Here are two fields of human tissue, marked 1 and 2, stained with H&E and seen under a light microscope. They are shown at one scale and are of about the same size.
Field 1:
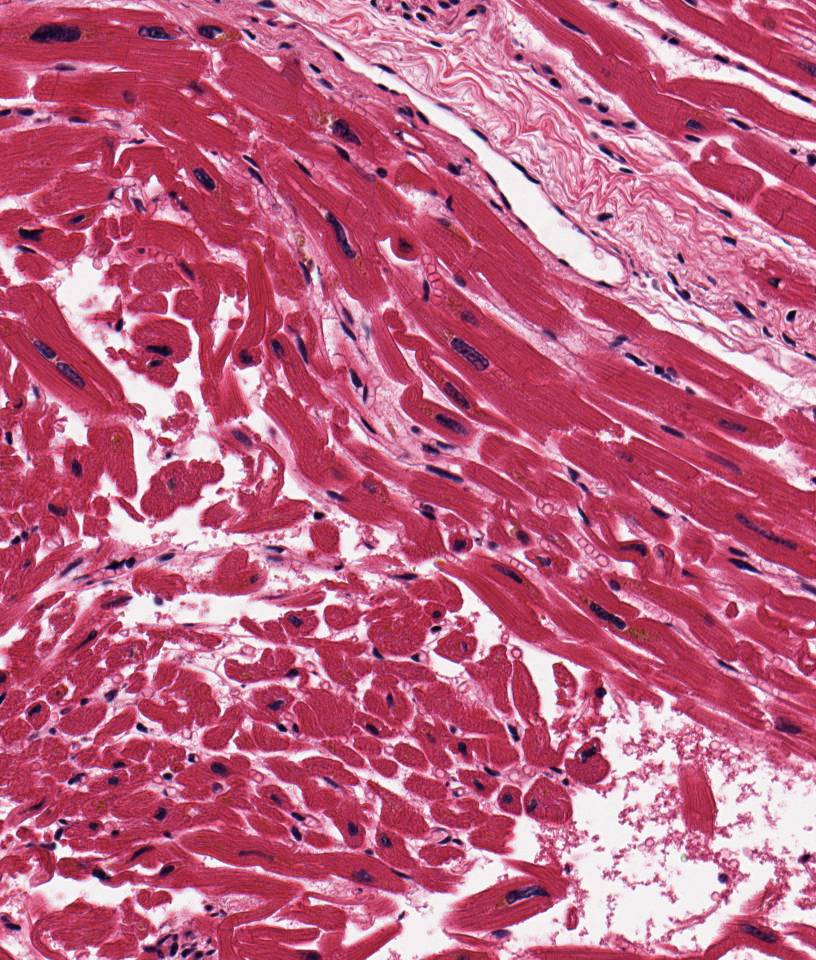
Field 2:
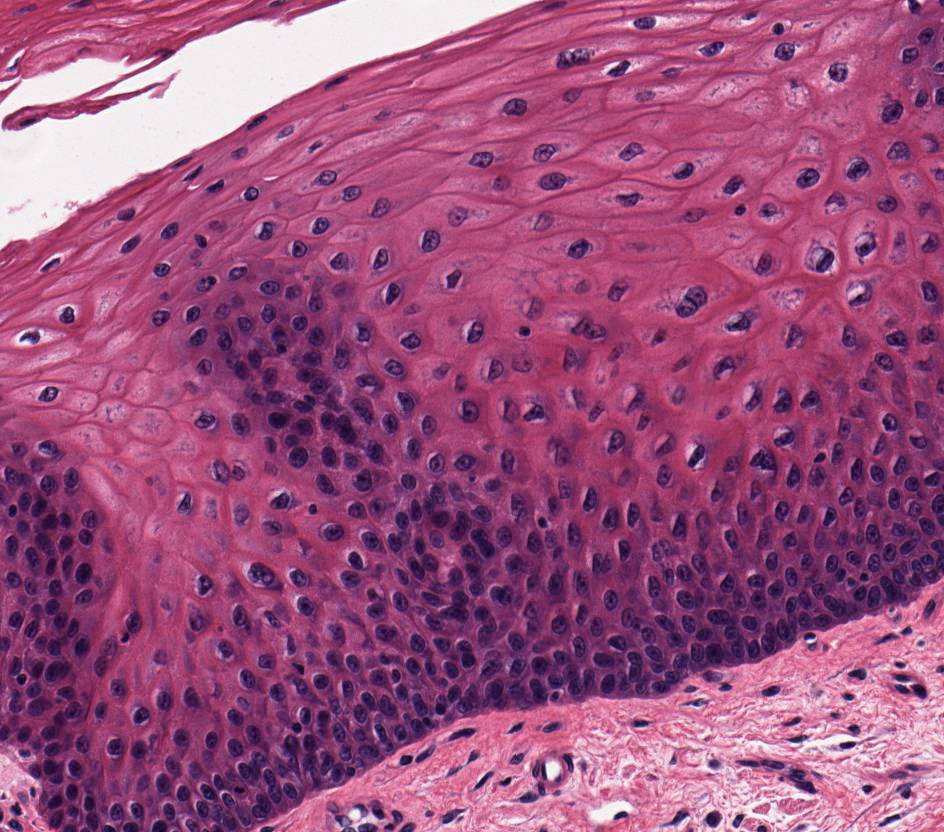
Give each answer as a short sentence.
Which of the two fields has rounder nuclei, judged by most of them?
The nuclei are rounder in field 2.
